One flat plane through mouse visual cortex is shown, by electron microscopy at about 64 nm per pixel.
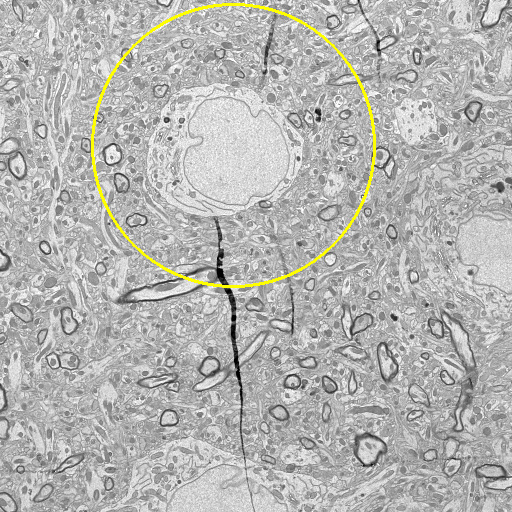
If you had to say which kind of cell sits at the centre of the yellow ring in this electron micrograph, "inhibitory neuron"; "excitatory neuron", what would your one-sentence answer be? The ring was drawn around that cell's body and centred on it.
The cell sitting at the centre of the ring is an excitatory neuron.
